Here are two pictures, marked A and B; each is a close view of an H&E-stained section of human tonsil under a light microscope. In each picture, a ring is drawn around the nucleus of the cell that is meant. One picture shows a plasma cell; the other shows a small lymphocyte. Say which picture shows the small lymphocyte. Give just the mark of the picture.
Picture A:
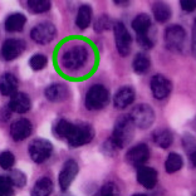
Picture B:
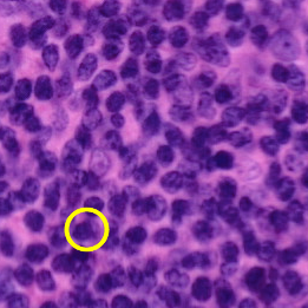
B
